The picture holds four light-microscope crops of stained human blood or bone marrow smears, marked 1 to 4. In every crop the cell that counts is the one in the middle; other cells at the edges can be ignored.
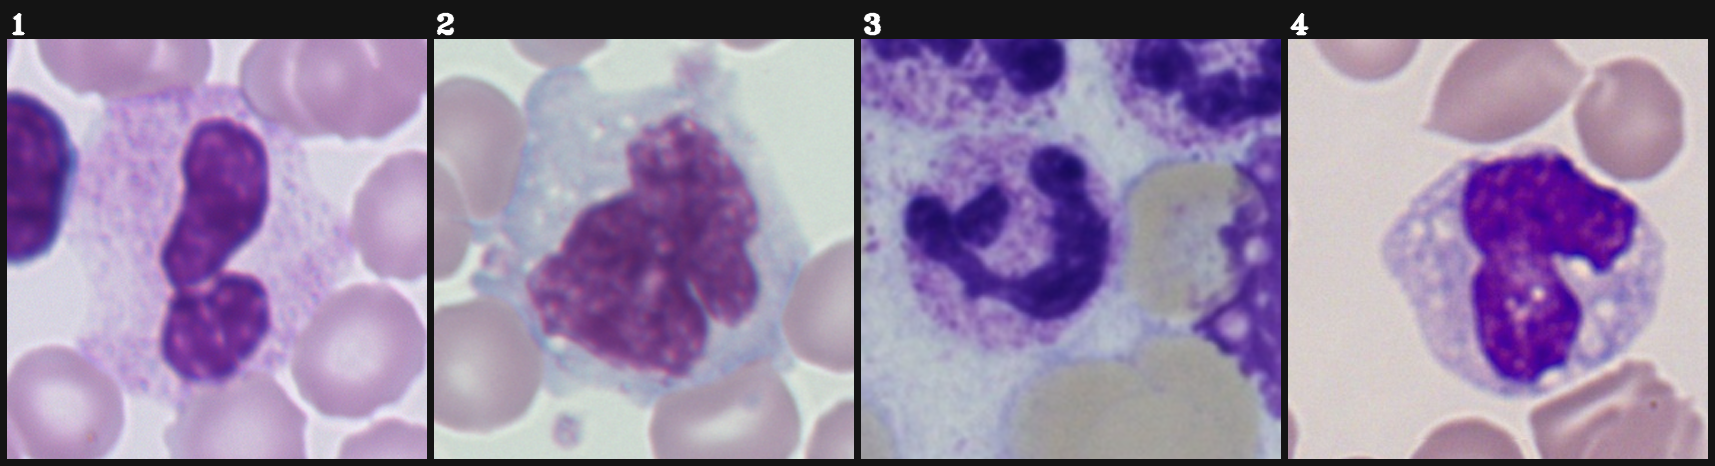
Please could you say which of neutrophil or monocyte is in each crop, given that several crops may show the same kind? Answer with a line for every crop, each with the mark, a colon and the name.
1: neutrophil
2: monocyte
3: neutrophil
4: monocyte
